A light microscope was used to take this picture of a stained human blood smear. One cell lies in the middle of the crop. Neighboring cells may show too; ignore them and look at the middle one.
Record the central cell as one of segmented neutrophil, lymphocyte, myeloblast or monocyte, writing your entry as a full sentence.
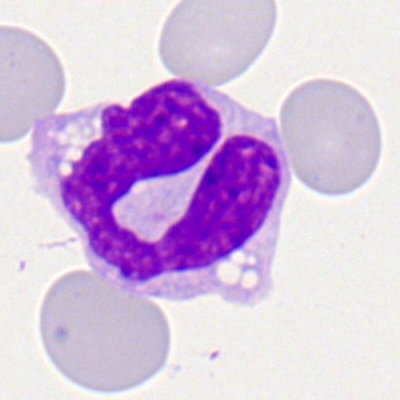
The center cell of this crop is a monocyte.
